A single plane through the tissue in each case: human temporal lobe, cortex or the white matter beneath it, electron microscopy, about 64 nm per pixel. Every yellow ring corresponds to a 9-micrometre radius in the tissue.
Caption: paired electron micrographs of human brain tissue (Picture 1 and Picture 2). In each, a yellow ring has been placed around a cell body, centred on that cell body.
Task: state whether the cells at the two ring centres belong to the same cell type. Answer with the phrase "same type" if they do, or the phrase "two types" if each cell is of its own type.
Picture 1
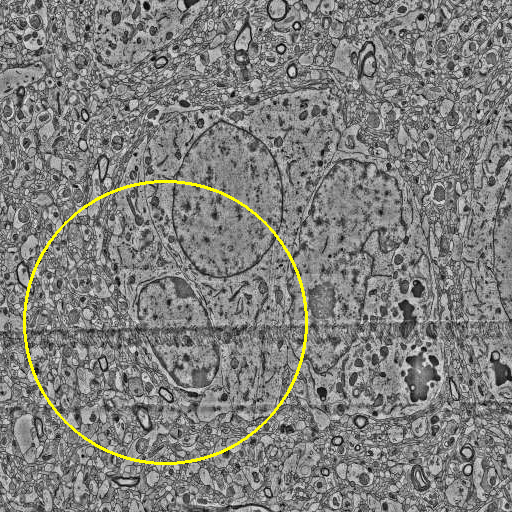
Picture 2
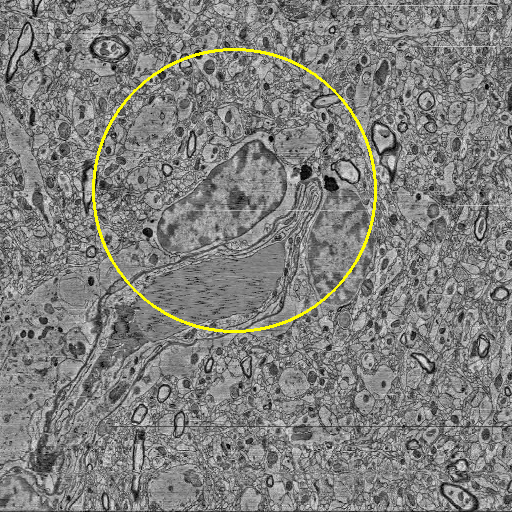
same type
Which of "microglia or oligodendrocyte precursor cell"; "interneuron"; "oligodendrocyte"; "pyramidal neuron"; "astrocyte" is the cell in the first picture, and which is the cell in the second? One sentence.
In each of the two pictures, the ringed cell is a microglial cell or oligodendrocyte precursor cell.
